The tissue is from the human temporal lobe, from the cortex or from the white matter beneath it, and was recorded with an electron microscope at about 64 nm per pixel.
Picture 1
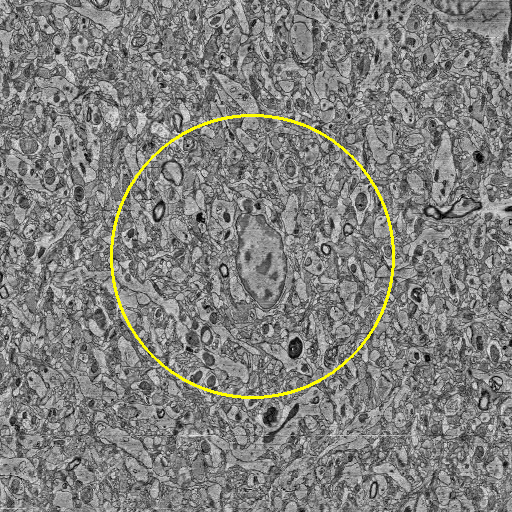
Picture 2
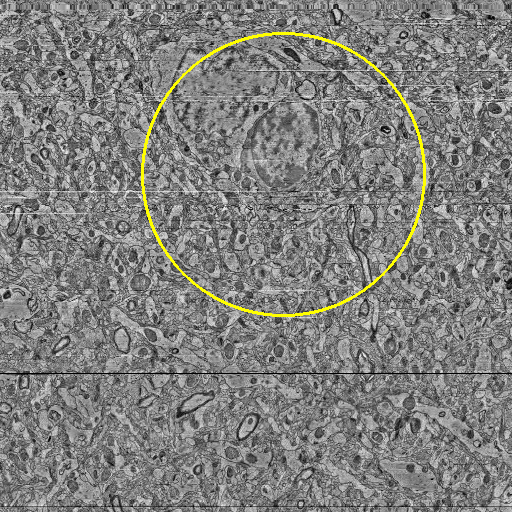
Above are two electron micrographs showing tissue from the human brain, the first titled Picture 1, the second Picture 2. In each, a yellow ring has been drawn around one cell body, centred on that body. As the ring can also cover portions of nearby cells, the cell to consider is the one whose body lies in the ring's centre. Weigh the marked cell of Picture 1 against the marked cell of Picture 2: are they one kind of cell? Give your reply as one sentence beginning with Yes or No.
No, the two cells sitting at the ring centres in the pictures are of two kinds.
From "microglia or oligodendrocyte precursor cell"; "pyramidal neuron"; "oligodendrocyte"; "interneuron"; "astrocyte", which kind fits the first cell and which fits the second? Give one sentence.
The cell marked in the first picture is a microglial cell or oligodendrocyte precursor cell, and the one marked in the second is an oligodendrocyte.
